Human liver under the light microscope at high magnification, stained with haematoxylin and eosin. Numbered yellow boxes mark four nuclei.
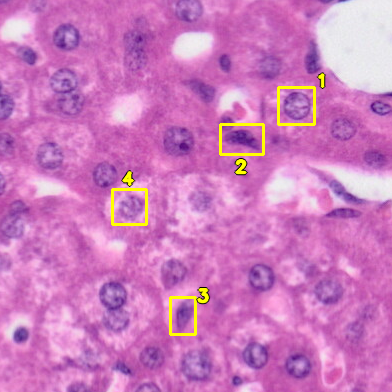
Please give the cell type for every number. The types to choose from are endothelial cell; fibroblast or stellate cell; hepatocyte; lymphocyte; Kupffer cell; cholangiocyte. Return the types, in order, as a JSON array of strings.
["hepatocyte", "fibroblast or stellate cell", "Kupffer cell", "hepatocyte"]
